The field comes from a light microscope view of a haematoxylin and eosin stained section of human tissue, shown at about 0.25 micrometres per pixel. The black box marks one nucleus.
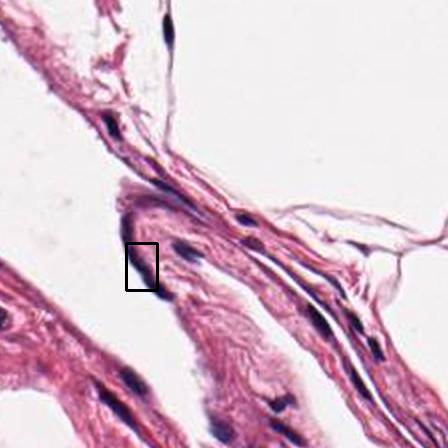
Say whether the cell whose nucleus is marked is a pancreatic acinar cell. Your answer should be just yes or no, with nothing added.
no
